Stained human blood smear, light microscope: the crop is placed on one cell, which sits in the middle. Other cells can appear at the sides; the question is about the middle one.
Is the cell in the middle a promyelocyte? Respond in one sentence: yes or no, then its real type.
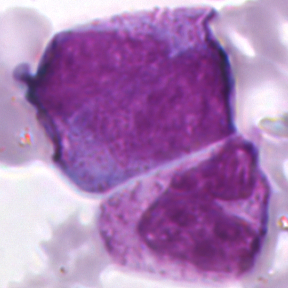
Yes, the middle cell is properly termed a promyelocyte.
